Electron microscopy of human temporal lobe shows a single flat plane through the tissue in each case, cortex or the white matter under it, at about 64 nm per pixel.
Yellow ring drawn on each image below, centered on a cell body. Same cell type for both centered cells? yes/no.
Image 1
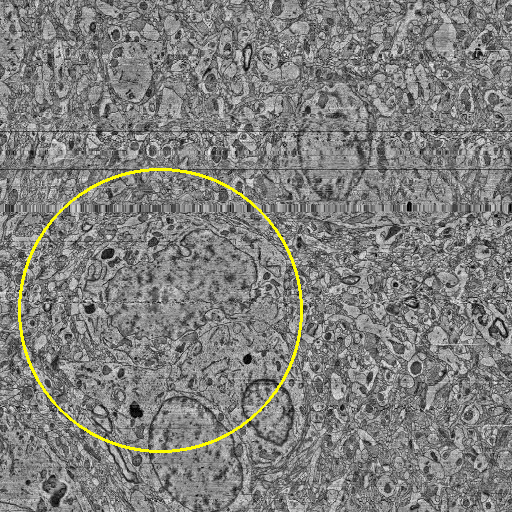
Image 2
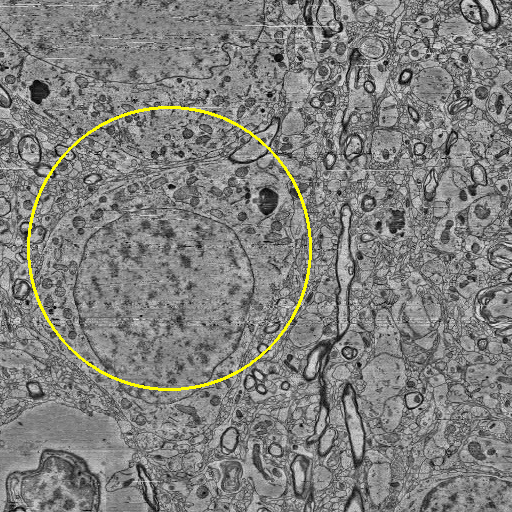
yes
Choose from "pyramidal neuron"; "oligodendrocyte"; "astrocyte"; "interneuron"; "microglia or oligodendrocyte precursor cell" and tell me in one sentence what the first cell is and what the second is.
Each cell, in the first picture and the second, is an interneuron.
